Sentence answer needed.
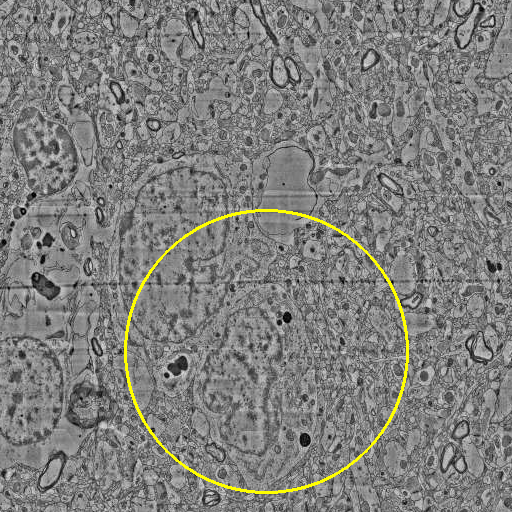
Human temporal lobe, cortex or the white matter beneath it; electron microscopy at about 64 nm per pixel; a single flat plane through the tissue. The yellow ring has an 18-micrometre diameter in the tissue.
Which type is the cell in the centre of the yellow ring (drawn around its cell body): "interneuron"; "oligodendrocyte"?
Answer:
In the centre of the yellow ring is an interneuron.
